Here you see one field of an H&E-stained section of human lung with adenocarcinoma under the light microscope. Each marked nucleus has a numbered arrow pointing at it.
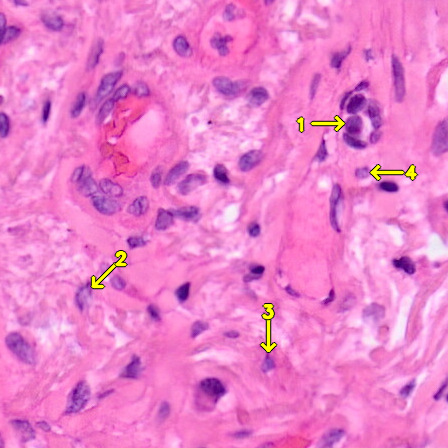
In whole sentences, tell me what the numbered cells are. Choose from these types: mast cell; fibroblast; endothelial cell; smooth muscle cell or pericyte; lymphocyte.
Cell 1 is a lymphocyte. Cell 2 is a fibroblast. Cell 3 is a smooth muscle cell or pericyte. Cell 4 is a mast cell.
